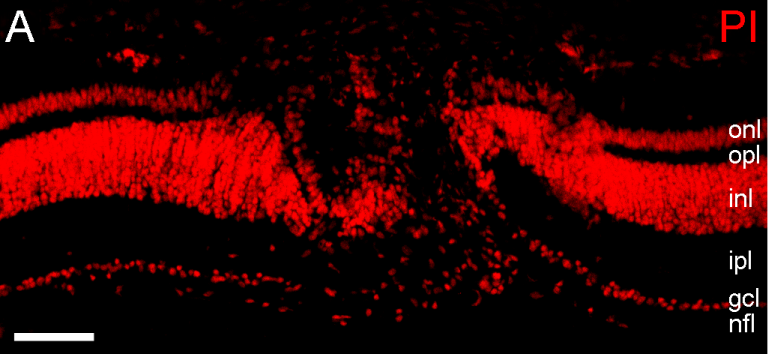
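This vertical section of retina shows its nuclear layers as red bands of densely packed nuclei. A thin outer band and a thick inner band of nuclei are separated by a narrow dark band, and a wide dark band lies below them above a single loose row of nuclei near the inner surface. In the centre the bands are broken: the layers dip and thin, and scattered nuclei lie through the normally dark bands. On either side of the centre the layered arrangement is regular.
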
